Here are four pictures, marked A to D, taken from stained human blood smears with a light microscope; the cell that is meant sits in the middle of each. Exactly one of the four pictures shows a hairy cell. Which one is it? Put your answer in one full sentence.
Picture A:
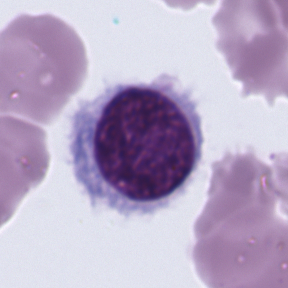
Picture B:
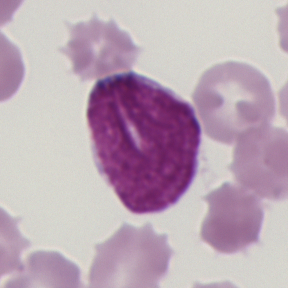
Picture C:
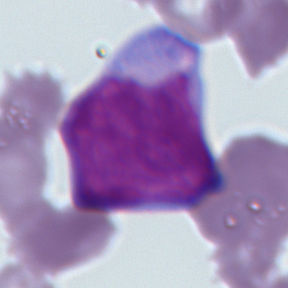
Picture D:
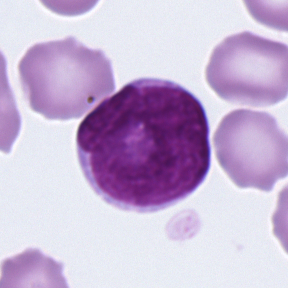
It is picture A that shows the hairy cell.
